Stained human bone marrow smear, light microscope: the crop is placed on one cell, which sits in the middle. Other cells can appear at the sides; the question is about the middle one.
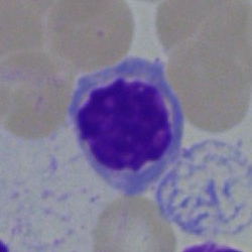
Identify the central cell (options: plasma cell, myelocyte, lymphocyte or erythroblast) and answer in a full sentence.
What sits at the centre of this crop is an erythroblast.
